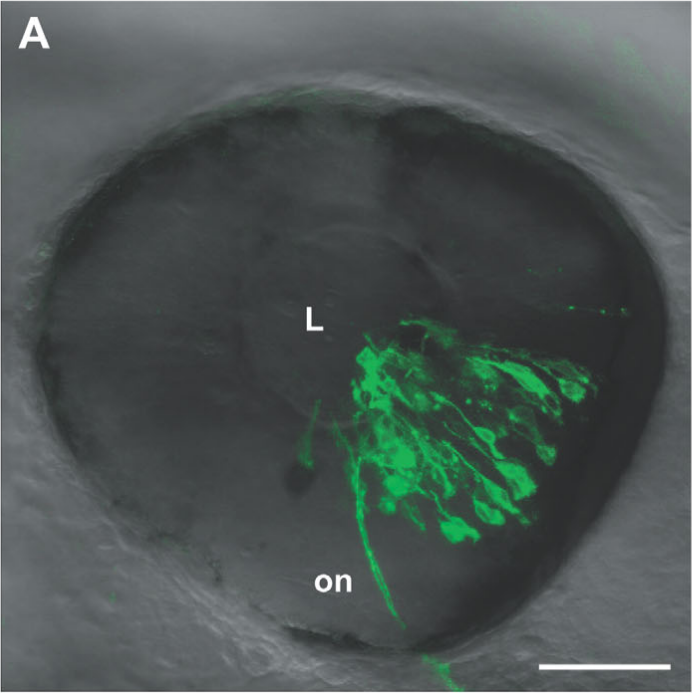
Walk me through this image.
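Lateral view of an embryonic eye in which a wedge-shaped segment of retina holds many green fluorescent neurons, while the rest of the eye is unlabelled. The labelled cells lie at different depths across several retinal layers, with rounded cell bodies and processes oriented radially, fanning out from the centre of the eye toward its rim. The lens lies in the middle, unlabelled. From the labelled segment a bundle of thin green fibres runs downward and converges to leave the eye as the optic nerve at the lower edge. The surrounding eye and head tissue appears grey in the transmitted light image.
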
